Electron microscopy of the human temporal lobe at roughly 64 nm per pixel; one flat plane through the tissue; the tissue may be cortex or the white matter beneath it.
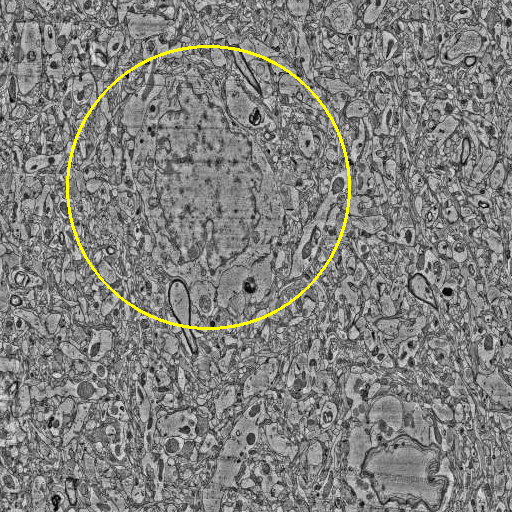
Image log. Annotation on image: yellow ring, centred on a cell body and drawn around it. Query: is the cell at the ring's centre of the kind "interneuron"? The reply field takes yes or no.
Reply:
yes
